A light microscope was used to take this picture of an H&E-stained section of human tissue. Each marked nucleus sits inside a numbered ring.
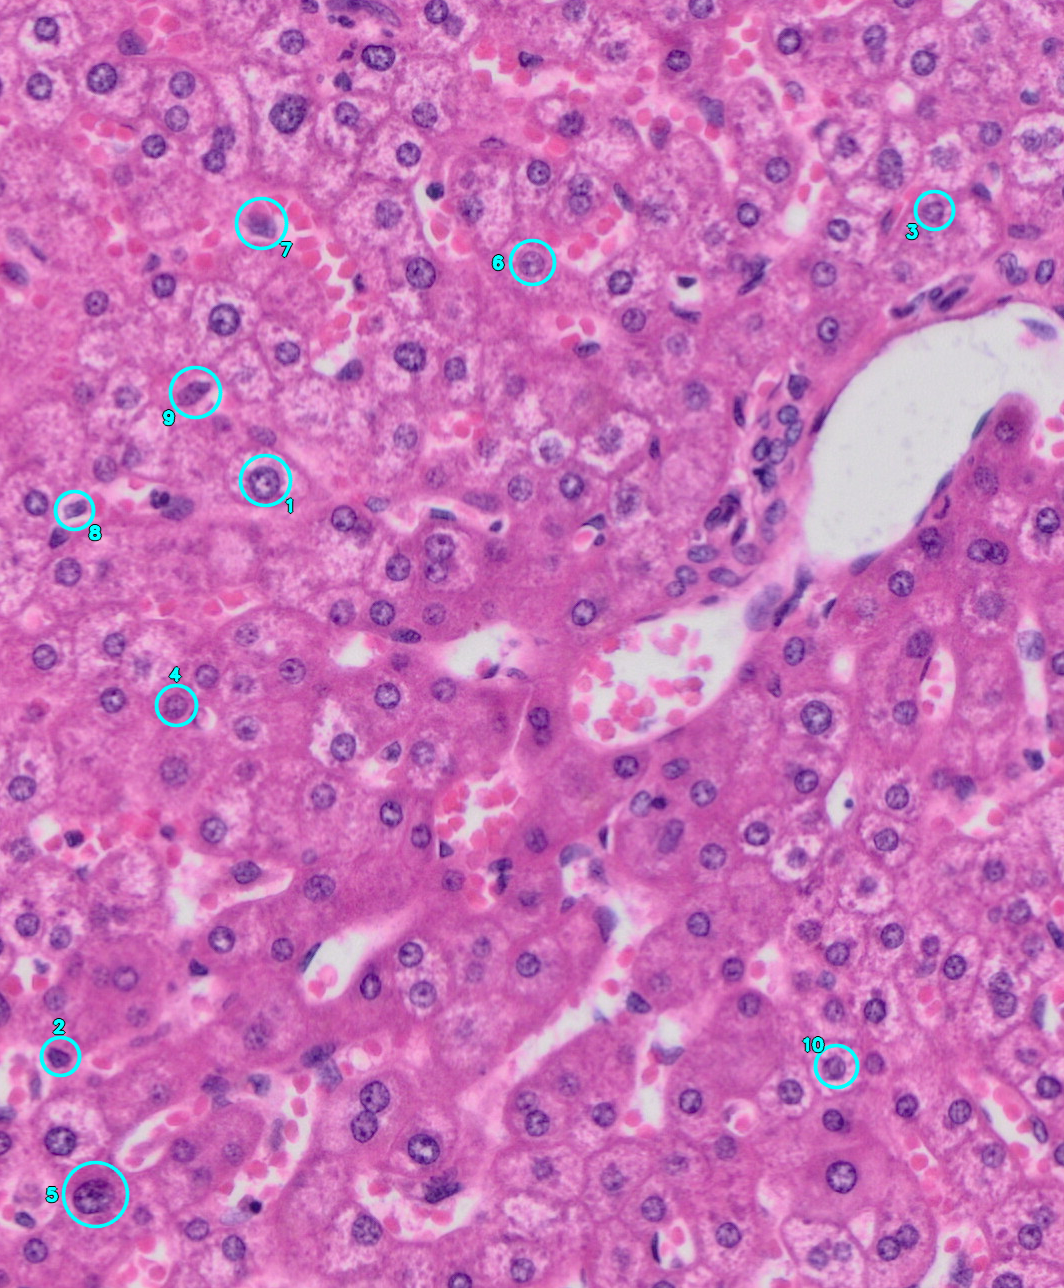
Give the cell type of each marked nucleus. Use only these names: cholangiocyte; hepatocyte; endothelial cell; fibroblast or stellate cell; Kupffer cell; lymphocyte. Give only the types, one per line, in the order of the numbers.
hepatocyte
fibroblast or stellate cell
hepatocyte
hepatocyte
hepatocyte
hepatocyte
endothelial cell
lymphocyte
Kupffer cell
hepatocyte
